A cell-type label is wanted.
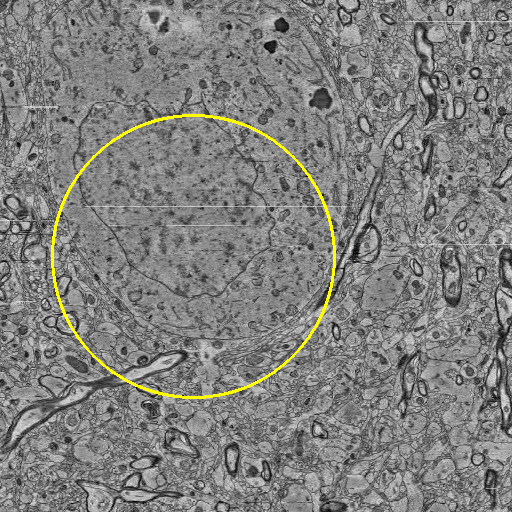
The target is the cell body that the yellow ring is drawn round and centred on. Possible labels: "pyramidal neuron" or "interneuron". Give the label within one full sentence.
Of the labels offered, the cell in the middle of the yellow ring is a pyramidal neuron.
